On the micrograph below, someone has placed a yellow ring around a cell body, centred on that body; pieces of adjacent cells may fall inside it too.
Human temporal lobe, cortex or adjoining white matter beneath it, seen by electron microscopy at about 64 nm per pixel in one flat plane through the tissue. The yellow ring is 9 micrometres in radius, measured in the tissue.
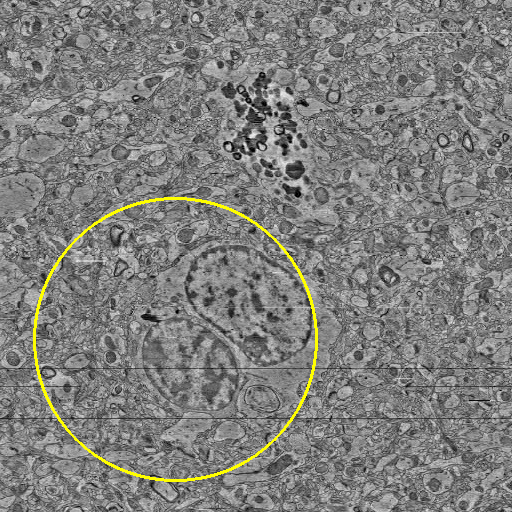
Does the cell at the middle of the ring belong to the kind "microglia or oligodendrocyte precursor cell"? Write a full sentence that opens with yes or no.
No, the micrograph shows another kind of cell at the ring's centre.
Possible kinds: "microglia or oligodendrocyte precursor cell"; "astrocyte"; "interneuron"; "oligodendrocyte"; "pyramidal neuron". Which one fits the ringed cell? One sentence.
Instead, the cell at the centre of the ring is an oligodendrocyte.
